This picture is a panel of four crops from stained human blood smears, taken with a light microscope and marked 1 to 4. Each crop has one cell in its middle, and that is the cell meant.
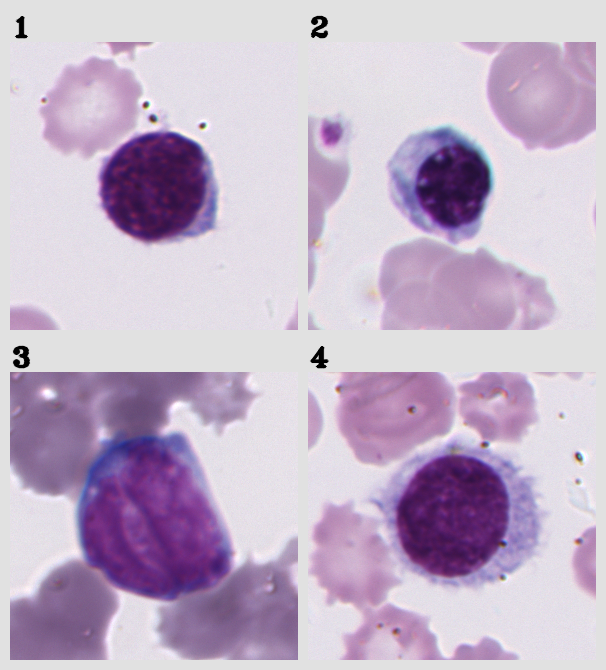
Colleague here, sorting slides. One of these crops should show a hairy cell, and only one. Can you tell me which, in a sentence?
It is the cell in crop 4 that is a hairy cell.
